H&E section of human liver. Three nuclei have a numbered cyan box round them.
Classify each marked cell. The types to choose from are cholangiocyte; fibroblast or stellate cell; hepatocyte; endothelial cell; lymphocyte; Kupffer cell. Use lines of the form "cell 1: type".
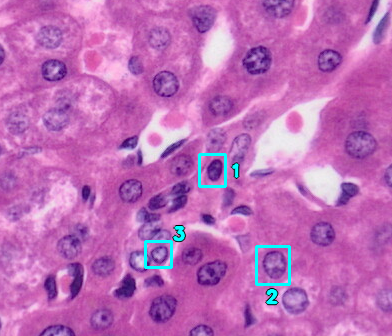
cell 1: cholangiocyte
cell 2: hepatocyte
cell 3: cholangiocyte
